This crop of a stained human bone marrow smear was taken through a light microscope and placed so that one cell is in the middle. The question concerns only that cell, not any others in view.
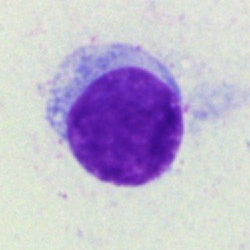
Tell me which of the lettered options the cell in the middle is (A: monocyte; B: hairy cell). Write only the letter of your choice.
B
